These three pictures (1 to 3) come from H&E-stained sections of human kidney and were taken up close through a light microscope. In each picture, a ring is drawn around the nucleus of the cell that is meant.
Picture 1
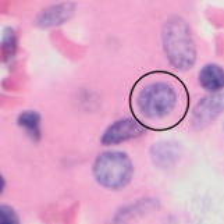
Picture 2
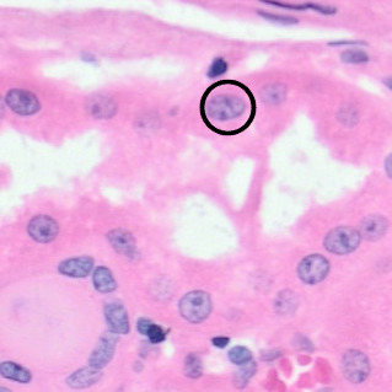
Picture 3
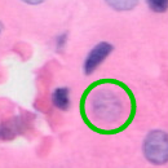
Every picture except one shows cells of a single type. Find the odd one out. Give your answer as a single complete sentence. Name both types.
The others show proximal tubule cells, but picture 1 shows a collecting duct cell.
